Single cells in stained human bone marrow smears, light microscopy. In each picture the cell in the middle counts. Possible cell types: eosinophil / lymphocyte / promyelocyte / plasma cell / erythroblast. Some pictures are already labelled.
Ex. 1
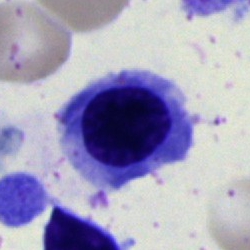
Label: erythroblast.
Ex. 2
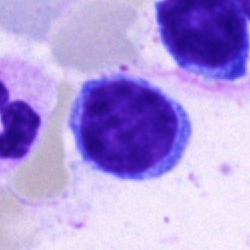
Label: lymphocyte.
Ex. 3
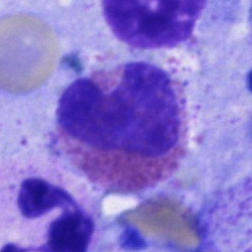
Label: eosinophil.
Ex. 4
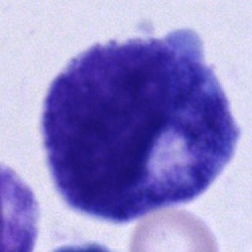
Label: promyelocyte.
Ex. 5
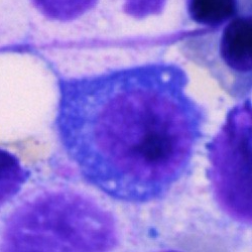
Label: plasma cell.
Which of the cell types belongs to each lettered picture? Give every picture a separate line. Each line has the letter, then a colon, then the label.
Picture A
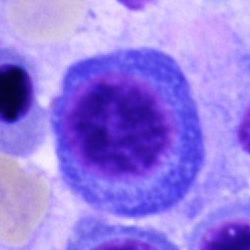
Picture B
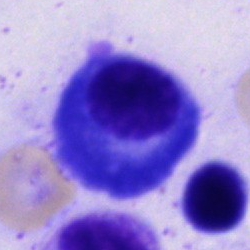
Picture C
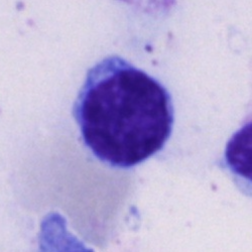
A: plasma cell.
B: plasma cell.
C: lymphocyte.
